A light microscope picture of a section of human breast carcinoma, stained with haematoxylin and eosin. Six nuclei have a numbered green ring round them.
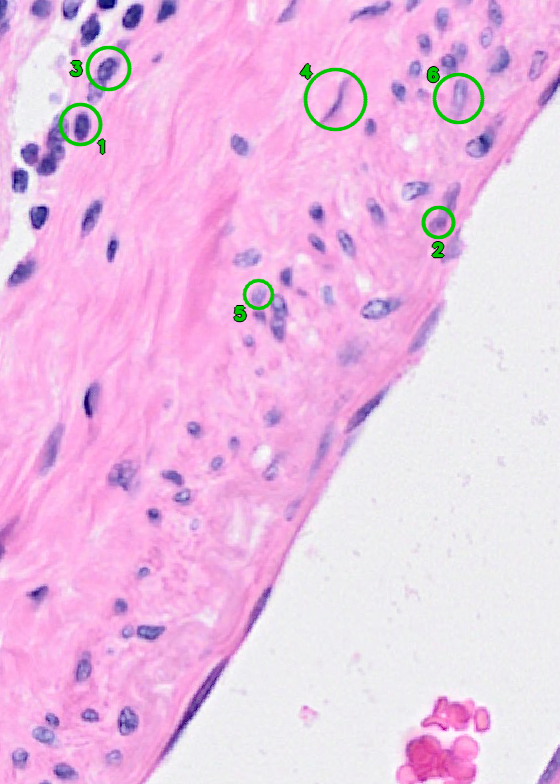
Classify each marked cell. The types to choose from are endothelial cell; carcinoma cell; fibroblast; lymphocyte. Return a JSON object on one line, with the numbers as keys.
{"1": "lymphocyte", "2": "endothelial cell", "3": "lymphocyte", "4": "fibroblast", "5": "endothelial cell", "6": "endothelial cell"}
